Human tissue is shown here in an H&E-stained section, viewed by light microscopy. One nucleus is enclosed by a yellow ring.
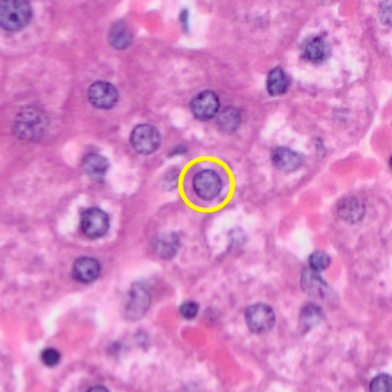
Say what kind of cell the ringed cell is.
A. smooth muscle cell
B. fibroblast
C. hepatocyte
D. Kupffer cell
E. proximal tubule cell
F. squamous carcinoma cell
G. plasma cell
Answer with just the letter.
C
